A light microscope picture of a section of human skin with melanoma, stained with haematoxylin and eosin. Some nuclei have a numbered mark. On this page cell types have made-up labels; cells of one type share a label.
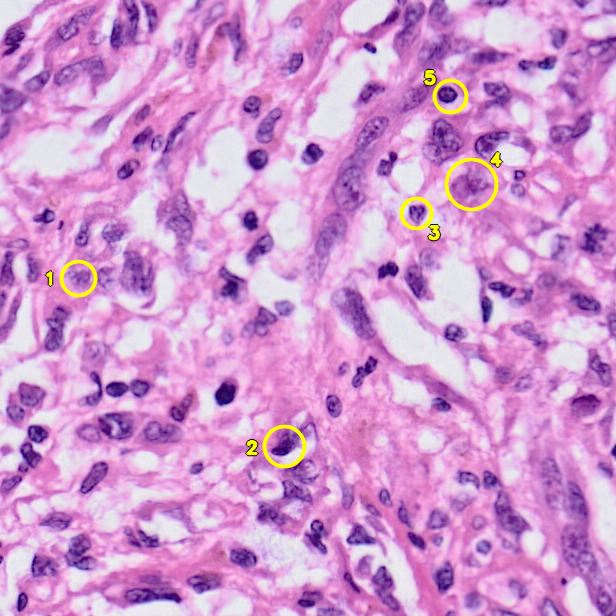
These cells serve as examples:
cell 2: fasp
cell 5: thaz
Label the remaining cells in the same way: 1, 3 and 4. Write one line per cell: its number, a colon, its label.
1: fasp
3: thaz
4: fasp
